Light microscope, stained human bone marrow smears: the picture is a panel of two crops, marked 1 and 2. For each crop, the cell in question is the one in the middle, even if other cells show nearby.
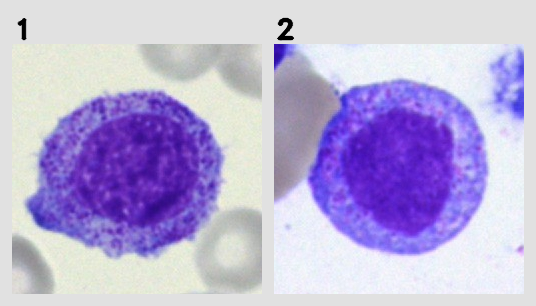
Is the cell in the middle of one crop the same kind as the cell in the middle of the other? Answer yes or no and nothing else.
yes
